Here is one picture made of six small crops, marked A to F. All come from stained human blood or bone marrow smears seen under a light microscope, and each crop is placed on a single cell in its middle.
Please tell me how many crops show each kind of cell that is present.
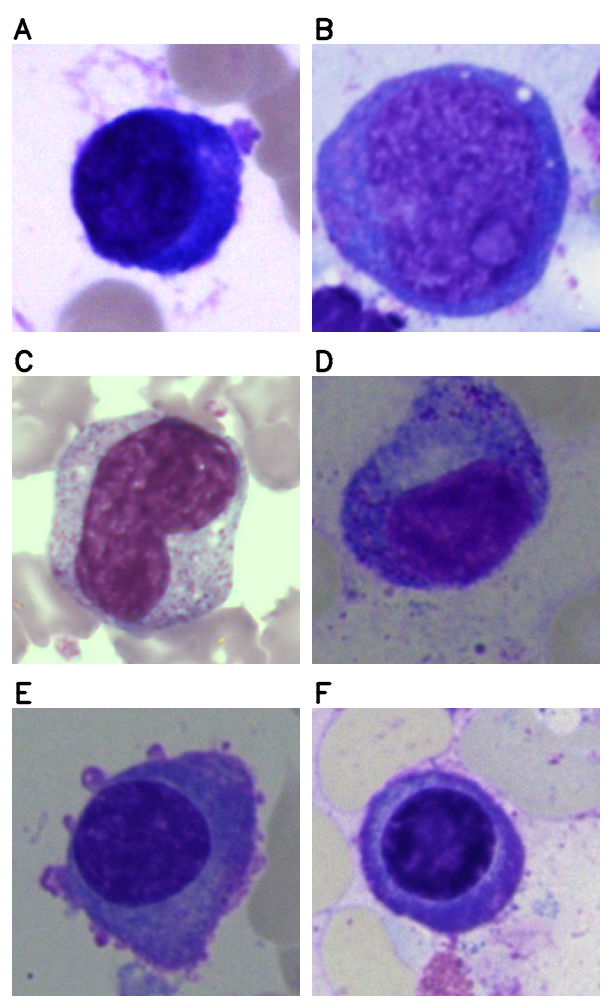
plasma cell: 3
promyelocyte: 3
